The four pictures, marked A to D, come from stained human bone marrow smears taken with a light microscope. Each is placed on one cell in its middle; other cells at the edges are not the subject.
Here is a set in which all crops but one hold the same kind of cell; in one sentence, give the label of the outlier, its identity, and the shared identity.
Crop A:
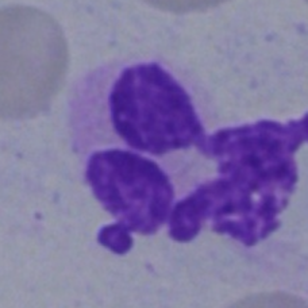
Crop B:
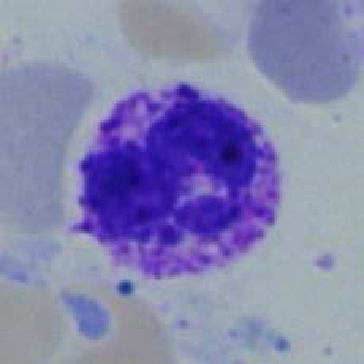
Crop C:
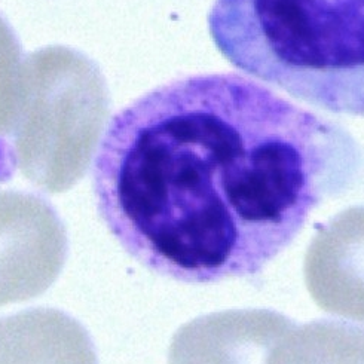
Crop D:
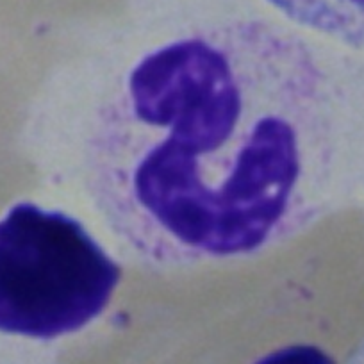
Crop B is the sole crop with a basophil; the others all have neutrophils.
